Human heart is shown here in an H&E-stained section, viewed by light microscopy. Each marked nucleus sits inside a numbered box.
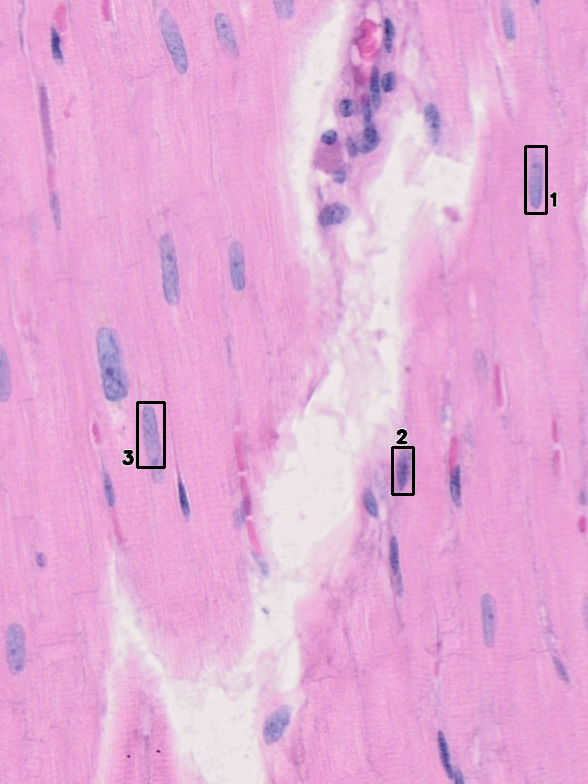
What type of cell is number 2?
fibroblast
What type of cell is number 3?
cardiomyocyte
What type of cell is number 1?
cardiomyocyte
